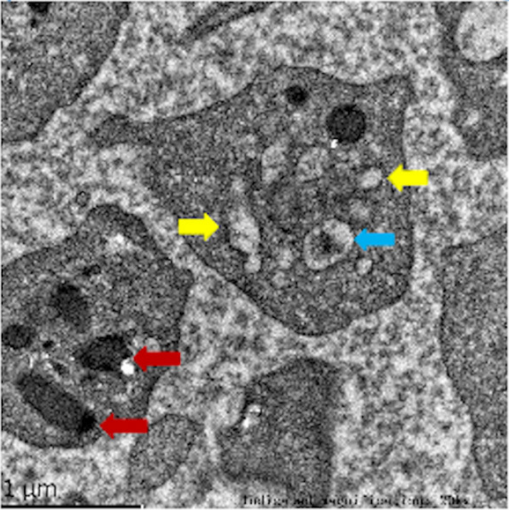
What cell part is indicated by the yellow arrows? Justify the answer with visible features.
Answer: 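Empty sacks. Arrows point to pale, light-grey membrane-bound spaces within the cell. The spaces have no dark core.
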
